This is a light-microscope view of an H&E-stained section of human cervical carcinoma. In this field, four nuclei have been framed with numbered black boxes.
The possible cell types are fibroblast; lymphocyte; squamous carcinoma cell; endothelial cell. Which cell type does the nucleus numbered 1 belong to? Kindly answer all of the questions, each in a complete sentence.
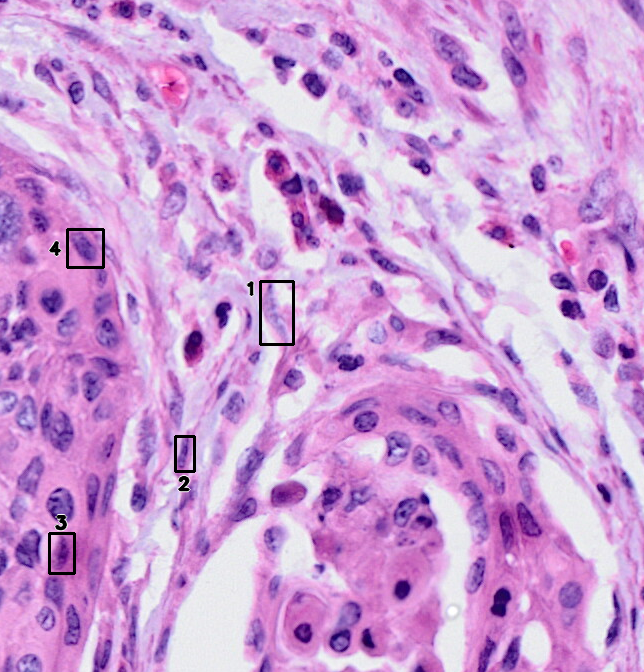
Belonging to a fibroblast is the nucleus that carries the number 1.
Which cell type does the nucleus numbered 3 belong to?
The cell assigned the number 3 is a squamous carcinoma cell.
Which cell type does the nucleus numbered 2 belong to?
Cell 2 is classified as a fibroblast.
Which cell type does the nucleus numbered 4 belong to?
The numeral 4 marks a squamous carcinoma cell in this section.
